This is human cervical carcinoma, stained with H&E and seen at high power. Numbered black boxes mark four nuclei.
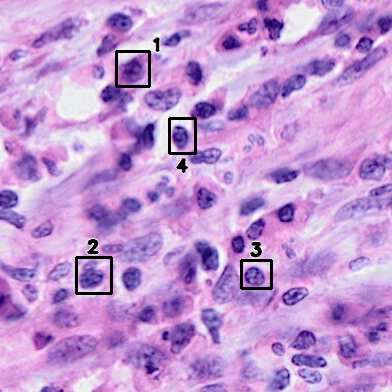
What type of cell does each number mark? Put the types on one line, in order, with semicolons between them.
macrophage or monocyte; lymphocyte; lymphocyte; lymphocyte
